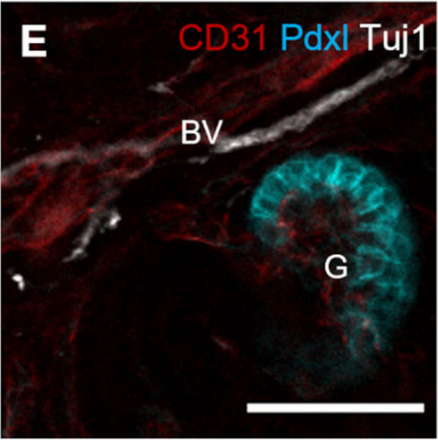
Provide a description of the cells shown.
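A developing glomerulus appears as a rounded structure wrapped on one side by a curved cup of cyan-outlined podocytes arranged in a single row. Fine red strands of glomerular capillaries fill the inside of the cup, and further red vessels run across the upper left of the field. Thin white neurites follow a blood vessel diagonally across the top, staying apart from the glomerulus and its capillaries.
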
